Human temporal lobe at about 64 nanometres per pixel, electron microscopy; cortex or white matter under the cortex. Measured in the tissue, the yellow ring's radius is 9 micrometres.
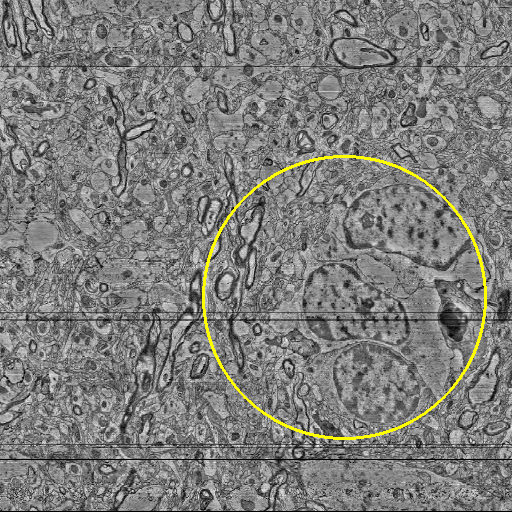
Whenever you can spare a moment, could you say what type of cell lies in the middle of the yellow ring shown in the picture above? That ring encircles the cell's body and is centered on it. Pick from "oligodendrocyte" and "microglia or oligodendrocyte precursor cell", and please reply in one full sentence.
The cell whose body sits at the middle of the yellow ring is a microglial cell or oligodendrocyte precursor cell.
